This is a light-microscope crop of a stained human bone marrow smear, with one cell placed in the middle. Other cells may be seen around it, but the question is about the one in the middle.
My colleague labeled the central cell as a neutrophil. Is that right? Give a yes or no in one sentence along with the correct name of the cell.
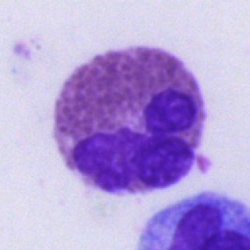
No, the middle cell is classified as an eosinophil instead of a neutrophil.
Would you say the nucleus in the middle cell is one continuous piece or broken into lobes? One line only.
Segmentation of the nucleus into two or more lobes is the finding.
